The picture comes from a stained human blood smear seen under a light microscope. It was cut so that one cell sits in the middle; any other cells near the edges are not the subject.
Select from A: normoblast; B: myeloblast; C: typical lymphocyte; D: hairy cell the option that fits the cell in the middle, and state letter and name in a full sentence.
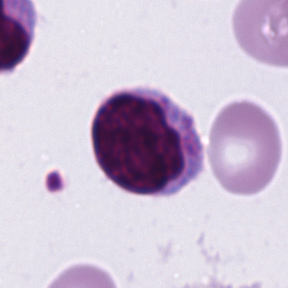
According to option C, which is correct, the cell in the middle is a typical lymphocyte.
